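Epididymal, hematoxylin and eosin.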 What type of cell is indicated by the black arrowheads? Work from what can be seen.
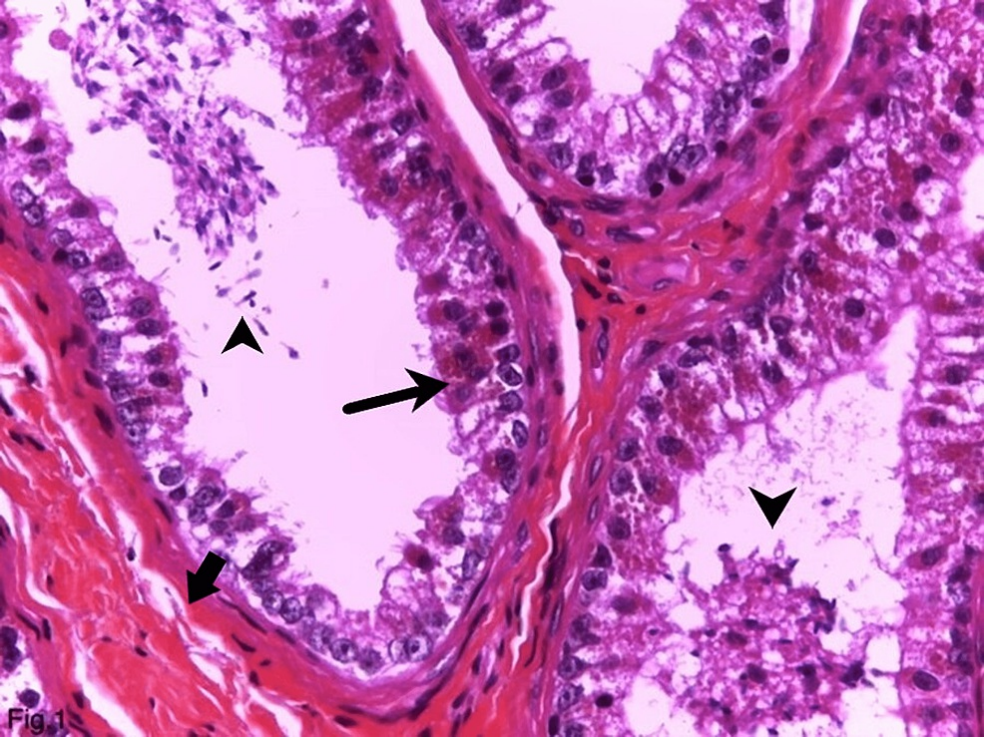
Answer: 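The arrowheads lie in the open lumina of the ducts. The lumina hold many small, dark, elongated bodies scattered loosely. These bodies are much smaller than the epithelial nuclei.
Answer: Sperm cells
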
